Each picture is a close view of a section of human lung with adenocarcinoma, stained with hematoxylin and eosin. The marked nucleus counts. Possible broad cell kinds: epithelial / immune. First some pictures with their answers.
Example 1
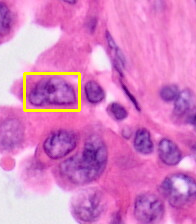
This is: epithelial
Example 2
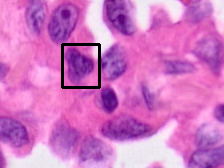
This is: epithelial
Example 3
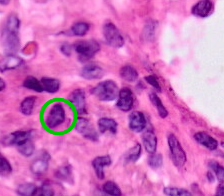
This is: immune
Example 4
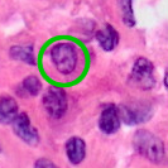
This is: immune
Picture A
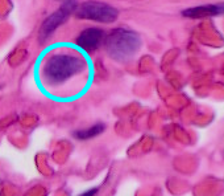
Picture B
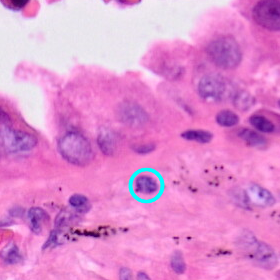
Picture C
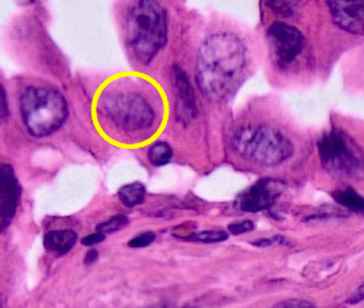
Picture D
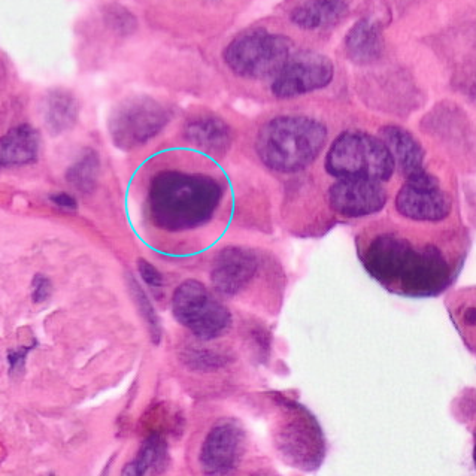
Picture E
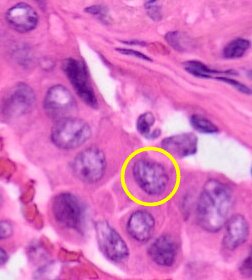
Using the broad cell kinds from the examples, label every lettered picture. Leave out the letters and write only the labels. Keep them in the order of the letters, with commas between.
epithelial, immune, epithelial, epithelial, epithelial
